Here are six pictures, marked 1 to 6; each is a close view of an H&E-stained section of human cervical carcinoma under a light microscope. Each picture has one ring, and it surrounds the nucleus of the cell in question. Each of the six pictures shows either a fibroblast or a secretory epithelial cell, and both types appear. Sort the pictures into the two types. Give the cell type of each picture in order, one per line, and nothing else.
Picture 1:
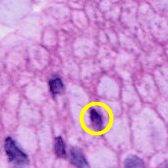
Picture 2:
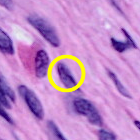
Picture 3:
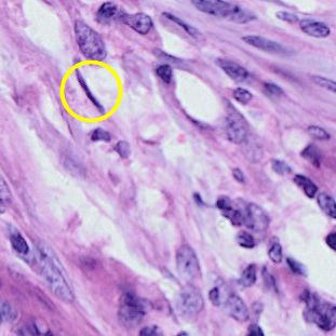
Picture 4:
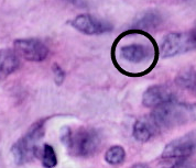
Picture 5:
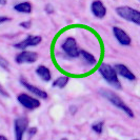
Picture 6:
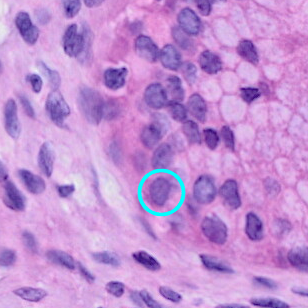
secretory epithelial cell
fibroblast
fibroblast
fibroblast
fibroblast
secretory epithelial cell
